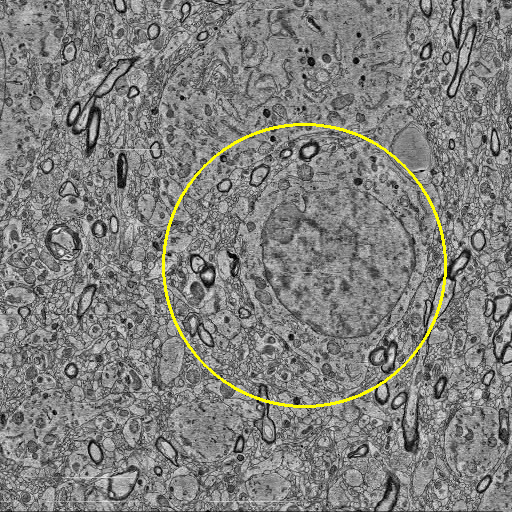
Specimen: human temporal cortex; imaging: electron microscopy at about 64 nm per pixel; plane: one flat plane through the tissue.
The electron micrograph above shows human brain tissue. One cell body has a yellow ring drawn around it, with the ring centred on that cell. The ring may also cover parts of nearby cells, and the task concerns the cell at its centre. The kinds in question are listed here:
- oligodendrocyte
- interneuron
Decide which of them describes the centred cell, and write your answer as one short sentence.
The centred cell is an interneuron.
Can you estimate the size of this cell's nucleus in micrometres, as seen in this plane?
In this plane the nucleus measures roughly 10 micrometres across.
